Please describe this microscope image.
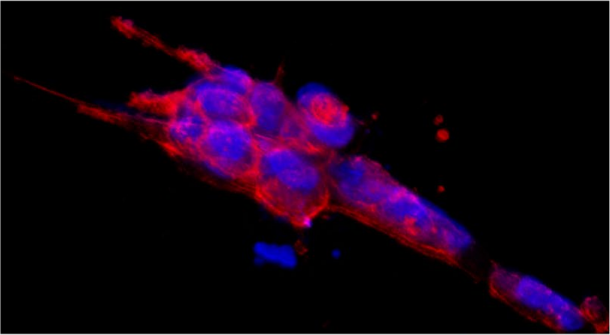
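Elongated strand-like cluster of cells arranged in a cord, wider at one end and narrowing along its length. Long thin red protrusions without nuclei extend from the wide end.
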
